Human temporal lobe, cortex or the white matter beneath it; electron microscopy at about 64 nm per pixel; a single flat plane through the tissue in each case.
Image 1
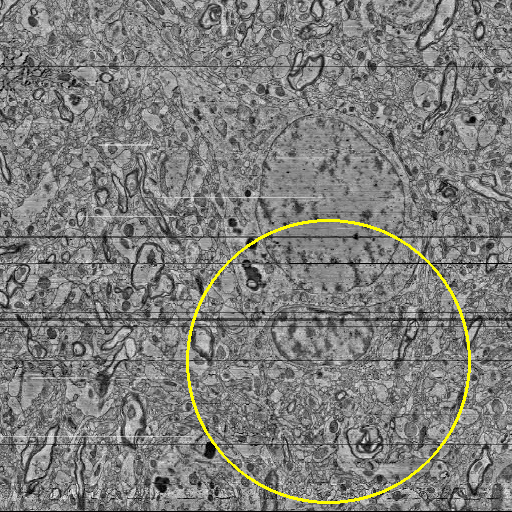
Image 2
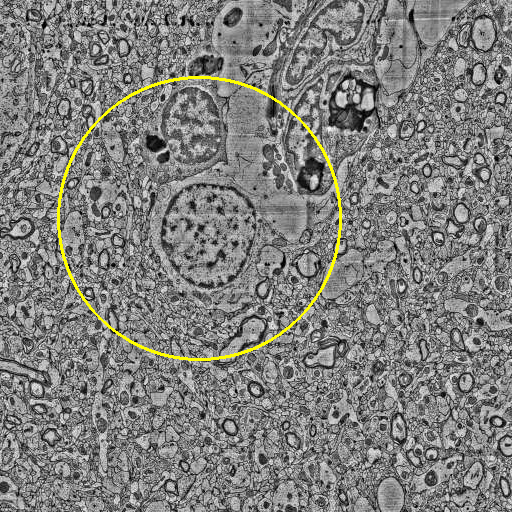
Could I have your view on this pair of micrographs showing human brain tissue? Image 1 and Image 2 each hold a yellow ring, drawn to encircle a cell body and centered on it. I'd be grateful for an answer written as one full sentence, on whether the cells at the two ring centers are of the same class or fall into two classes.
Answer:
The cells at the centers of the two rings fall into two classes.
